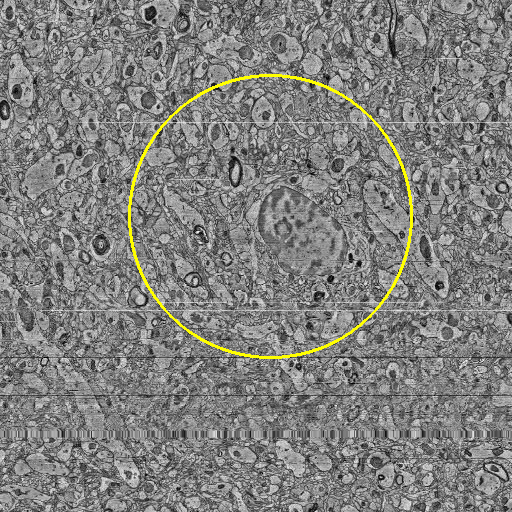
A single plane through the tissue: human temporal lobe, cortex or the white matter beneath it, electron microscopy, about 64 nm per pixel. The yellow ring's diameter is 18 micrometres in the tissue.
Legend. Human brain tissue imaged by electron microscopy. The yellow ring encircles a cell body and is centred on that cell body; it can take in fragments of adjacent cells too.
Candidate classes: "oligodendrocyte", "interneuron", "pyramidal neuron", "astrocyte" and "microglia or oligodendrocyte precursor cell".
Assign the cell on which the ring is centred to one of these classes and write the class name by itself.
microglia or oligodendrocyte precursor cell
